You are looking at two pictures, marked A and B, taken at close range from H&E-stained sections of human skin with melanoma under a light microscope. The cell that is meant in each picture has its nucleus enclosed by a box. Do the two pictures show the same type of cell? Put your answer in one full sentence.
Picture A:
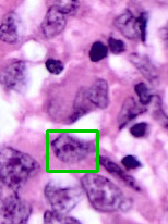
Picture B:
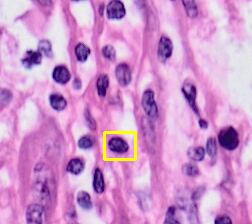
No, picture A shows a melanoma cell and picture B shows a lymphocyte.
